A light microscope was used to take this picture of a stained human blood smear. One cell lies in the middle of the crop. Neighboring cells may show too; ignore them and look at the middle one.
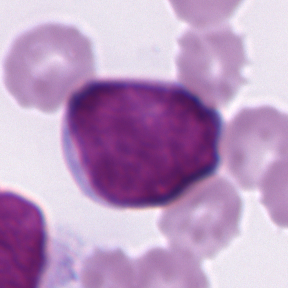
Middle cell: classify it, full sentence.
Of the cells in this crop, the central one is a blast.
